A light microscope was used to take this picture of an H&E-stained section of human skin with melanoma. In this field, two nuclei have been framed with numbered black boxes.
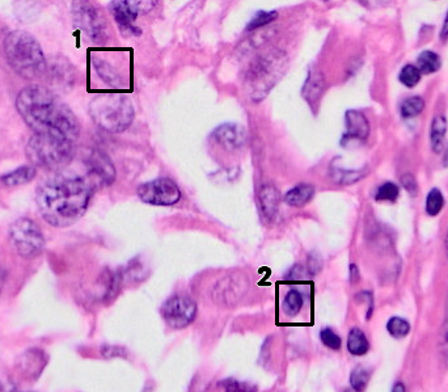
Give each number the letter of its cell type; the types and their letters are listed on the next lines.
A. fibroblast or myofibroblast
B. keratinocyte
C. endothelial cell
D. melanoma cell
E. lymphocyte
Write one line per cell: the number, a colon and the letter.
1: D
2: E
